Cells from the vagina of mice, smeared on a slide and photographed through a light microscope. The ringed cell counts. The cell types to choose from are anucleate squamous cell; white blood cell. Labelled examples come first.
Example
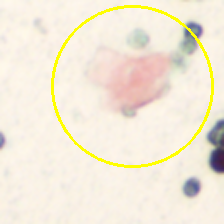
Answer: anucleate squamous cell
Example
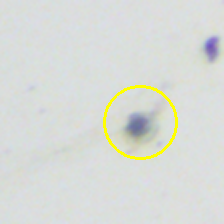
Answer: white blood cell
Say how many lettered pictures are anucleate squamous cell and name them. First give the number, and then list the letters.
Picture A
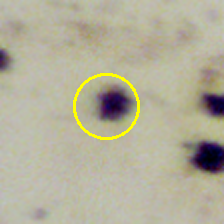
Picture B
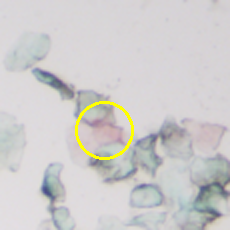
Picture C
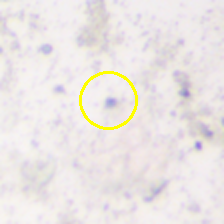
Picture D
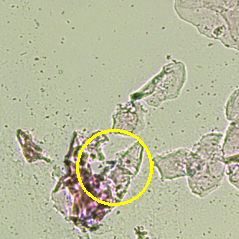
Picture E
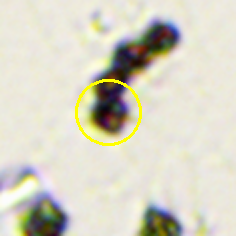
2: B, D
